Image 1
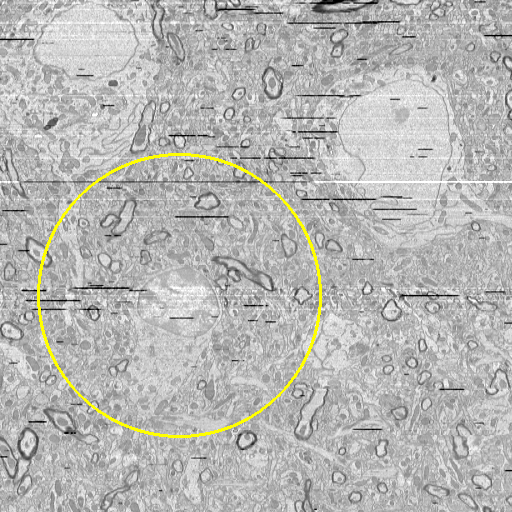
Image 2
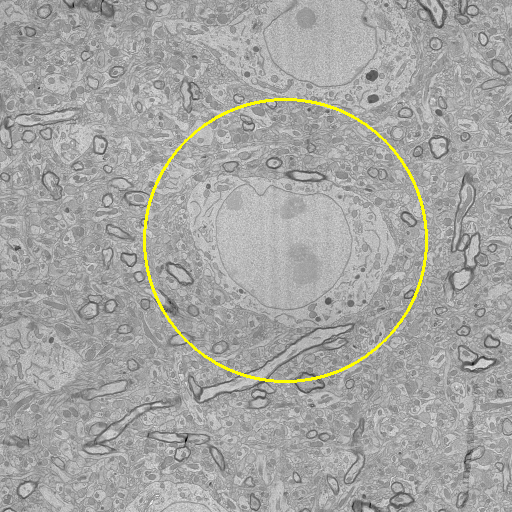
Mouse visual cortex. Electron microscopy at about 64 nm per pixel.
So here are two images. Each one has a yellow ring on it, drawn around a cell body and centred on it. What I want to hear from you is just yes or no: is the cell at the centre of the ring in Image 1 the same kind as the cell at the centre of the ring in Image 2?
no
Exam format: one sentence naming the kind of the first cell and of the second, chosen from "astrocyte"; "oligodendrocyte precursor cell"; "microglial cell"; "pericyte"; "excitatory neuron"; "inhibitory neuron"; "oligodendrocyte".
The first picture's cell is an oligodendrocyte, and the second picture's cell is an excitatory neuron.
